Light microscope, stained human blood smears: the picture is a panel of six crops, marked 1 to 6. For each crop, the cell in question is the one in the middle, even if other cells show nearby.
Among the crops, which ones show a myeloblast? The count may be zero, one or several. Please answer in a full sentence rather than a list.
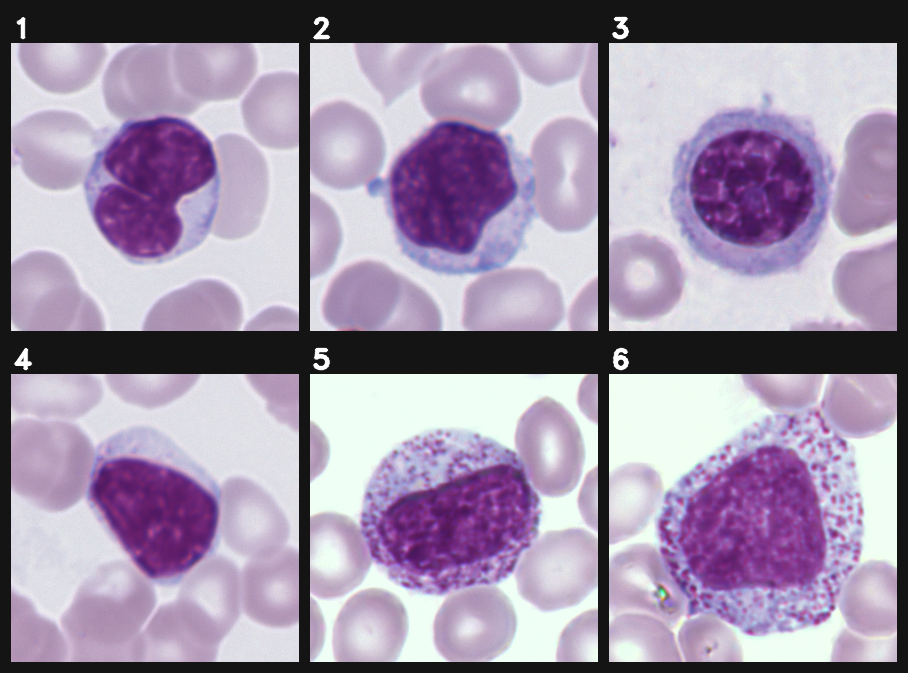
Not one crop among those given holds a myeloblast.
